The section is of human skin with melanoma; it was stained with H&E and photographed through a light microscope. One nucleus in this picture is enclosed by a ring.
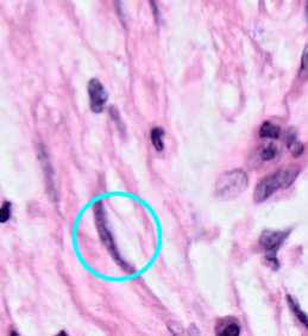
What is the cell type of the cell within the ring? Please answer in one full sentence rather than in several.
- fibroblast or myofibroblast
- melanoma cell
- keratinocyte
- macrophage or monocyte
On this particular slide, the cell within the ring is a fibroblast or myofibroblast.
